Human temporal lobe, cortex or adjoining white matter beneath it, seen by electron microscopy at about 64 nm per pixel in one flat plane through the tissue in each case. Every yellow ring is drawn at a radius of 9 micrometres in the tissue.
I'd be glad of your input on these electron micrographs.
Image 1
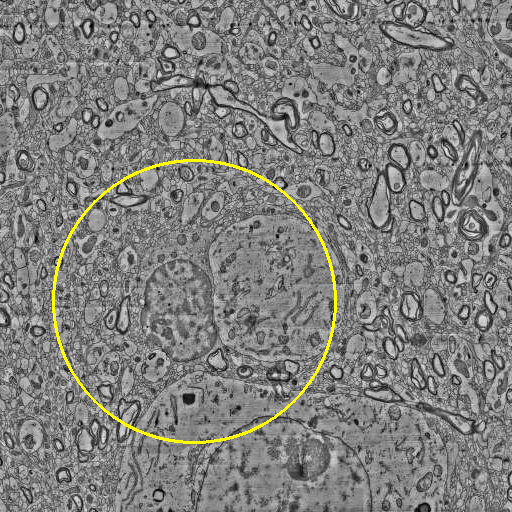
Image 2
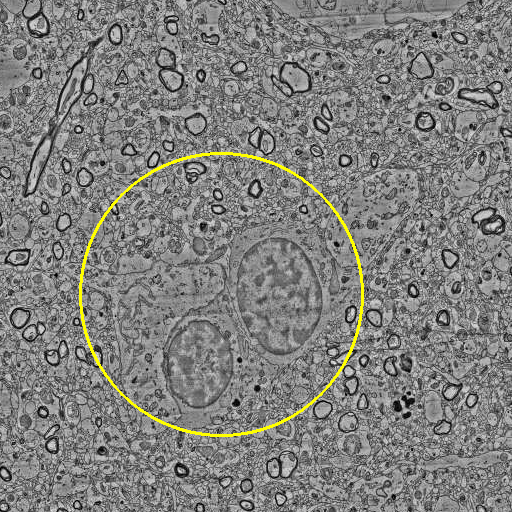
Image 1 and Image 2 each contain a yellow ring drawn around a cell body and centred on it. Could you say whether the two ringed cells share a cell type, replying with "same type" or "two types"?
two types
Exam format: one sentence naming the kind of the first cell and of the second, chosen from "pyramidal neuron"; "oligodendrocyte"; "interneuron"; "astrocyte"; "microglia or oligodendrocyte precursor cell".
The first picture's cell is an oligodendrocyte, and the second picture's cell is a pyramidal neuron.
